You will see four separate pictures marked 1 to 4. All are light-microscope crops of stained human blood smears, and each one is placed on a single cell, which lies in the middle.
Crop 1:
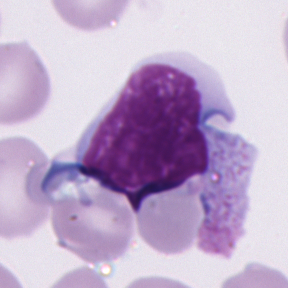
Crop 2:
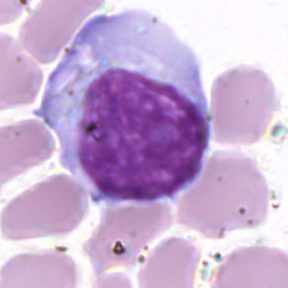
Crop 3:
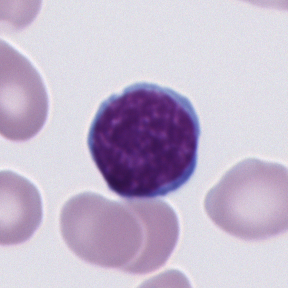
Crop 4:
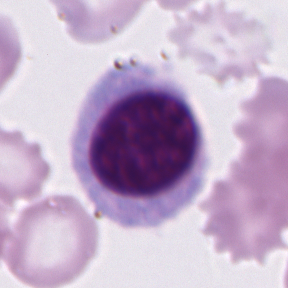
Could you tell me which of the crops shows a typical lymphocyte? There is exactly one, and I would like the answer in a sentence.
So the crop with a typical lymphocyte at its center is crop 3.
